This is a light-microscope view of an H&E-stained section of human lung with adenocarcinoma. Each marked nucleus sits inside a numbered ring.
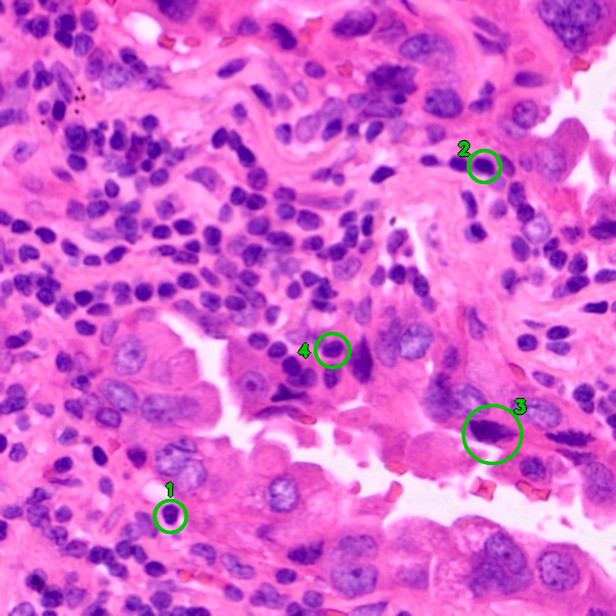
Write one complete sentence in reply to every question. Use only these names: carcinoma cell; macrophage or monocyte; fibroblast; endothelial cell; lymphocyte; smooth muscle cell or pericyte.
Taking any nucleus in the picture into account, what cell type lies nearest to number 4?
The nearest nucleus to number 4 belongs to a lymphocyte.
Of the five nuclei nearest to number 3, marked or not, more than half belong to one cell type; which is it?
Around number 3, most of the five nearest nuclei are those of carcinoma cells.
